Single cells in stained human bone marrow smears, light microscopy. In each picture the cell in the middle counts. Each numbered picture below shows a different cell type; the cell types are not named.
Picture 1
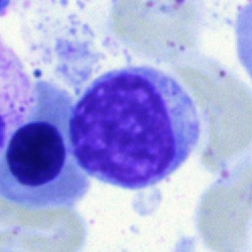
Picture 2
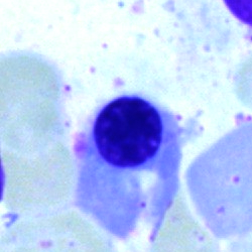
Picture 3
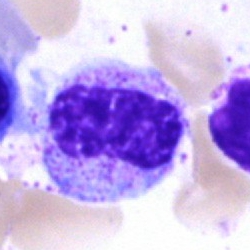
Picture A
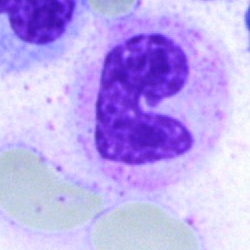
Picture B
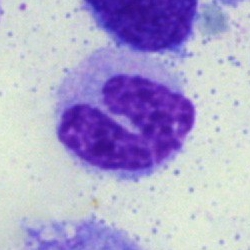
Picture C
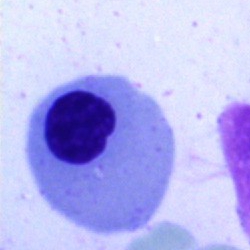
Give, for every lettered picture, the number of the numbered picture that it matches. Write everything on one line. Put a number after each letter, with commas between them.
A 3, B 3, C 2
